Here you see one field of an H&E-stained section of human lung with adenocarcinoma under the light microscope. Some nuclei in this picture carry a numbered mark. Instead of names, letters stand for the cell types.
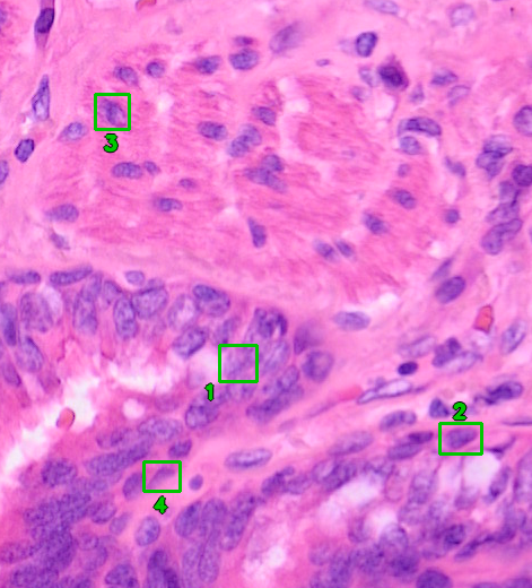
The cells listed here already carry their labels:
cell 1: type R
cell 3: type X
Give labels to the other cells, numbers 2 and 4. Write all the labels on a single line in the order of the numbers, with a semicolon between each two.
type R; type R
